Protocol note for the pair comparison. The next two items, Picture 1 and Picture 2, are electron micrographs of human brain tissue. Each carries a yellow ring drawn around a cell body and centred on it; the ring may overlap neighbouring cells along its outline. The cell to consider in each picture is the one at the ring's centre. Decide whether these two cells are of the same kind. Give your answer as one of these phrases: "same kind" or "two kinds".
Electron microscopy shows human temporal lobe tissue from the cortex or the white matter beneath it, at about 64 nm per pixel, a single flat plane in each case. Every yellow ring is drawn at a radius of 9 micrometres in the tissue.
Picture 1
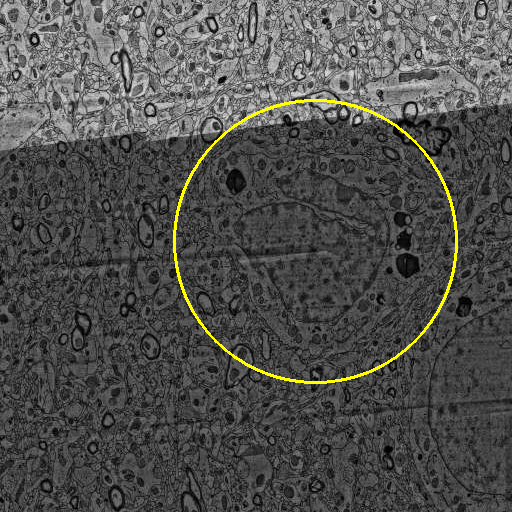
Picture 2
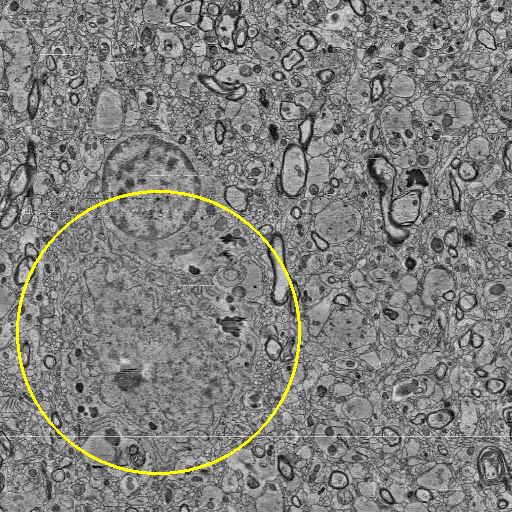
same kind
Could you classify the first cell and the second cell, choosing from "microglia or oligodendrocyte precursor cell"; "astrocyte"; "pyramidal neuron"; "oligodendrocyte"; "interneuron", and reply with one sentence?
In the first picture and in the second, the ring is centred on an interneuron.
